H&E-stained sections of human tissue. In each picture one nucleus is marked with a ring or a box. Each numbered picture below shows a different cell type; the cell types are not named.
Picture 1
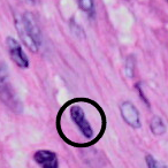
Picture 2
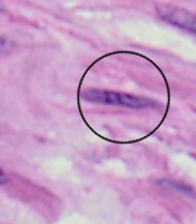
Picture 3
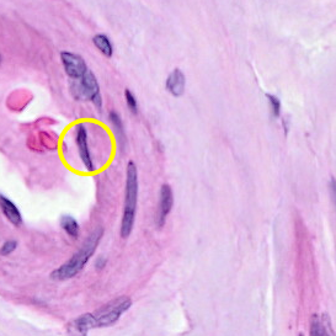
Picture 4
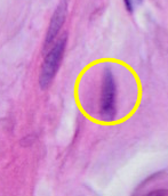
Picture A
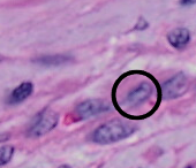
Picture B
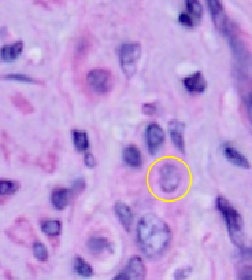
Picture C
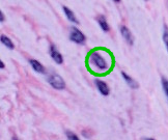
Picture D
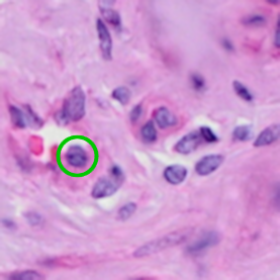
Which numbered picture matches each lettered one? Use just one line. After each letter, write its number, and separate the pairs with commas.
A 3, B 3, C 4, D 3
